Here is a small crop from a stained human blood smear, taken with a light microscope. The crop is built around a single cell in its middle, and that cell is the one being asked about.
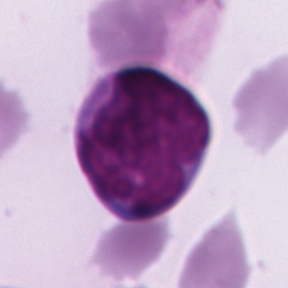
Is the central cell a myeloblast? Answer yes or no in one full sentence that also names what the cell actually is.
Yes, the central cell is to be recorded as a myeloblast.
